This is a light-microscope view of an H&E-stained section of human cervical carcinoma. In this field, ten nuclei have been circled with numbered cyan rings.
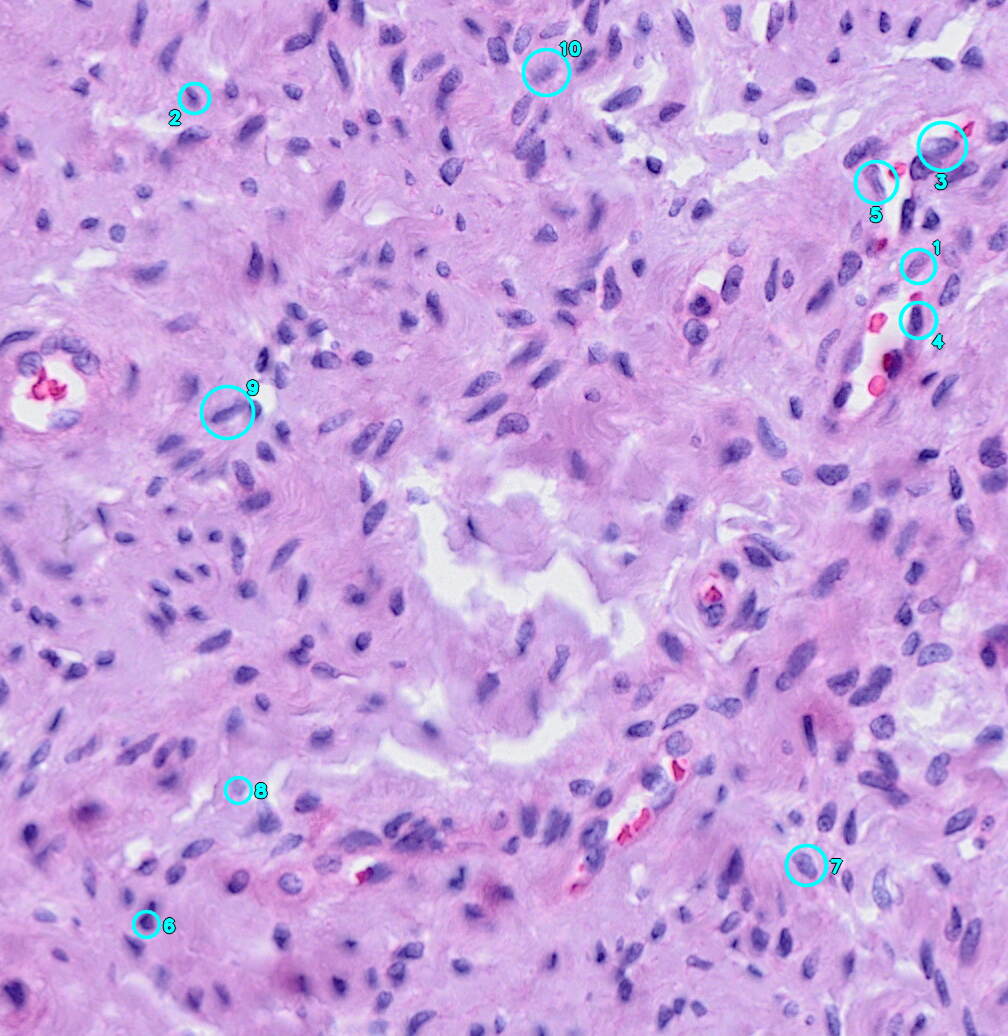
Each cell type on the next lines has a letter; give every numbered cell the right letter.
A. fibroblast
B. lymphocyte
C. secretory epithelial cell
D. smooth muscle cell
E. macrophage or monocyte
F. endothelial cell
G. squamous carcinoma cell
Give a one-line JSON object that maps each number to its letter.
{"1": "F", "2": "A", "3": "F", "4": "F", "5": "F", "6": "A", "7": "A", "8": "A", "9": "A", "10": "A"}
